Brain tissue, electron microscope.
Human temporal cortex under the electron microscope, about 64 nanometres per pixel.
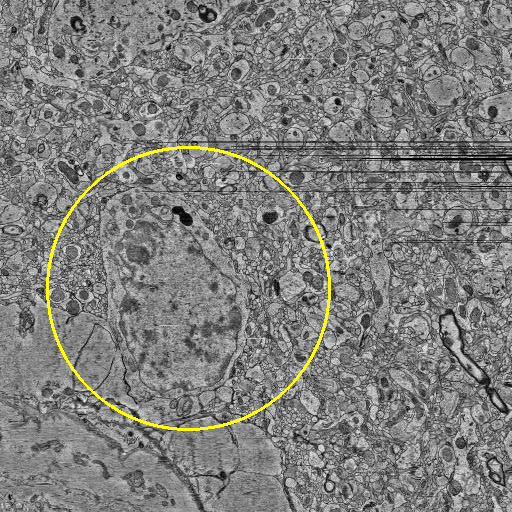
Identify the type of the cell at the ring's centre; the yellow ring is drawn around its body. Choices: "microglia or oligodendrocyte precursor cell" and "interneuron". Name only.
interneuron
